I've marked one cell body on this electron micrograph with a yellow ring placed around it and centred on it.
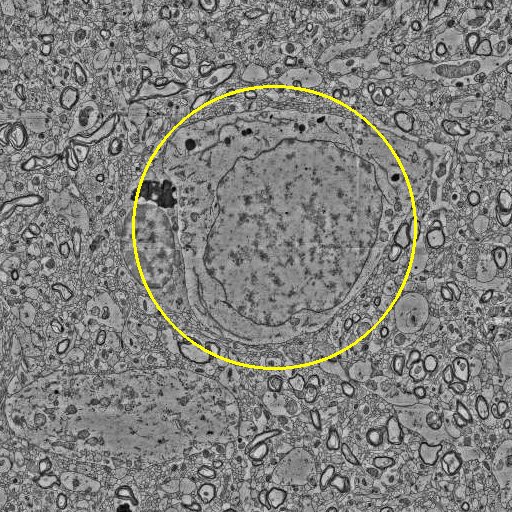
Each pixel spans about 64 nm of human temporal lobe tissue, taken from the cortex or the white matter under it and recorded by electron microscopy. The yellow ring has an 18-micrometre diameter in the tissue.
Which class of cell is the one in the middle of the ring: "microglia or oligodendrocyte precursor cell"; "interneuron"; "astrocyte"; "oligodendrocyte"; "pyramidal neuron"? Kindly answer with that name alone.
pyramidal neuron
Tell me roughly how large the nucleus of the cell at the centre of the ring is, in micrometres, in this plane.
The nucleus is approximately 13 micrometers long by 11 micrometers wide in this plane.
